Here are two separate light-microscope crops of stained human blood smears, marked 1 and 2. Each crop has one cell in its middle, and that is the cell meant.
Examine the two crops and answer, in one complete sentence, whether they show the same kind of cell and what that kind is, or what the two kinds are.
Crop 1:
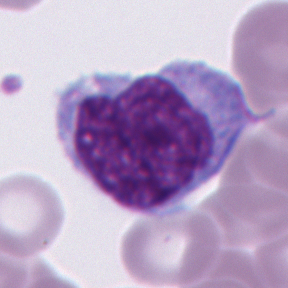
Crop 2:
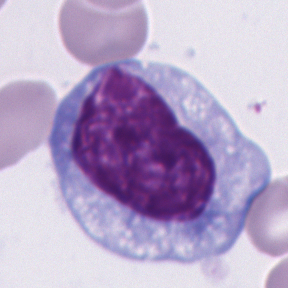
Yes, both crops here show monocytes, the pair of them.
